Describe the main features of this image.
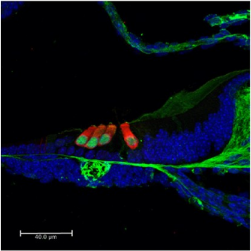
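The red cells are tall and rounded, with green nuclei inside them, three grouped together and one a little apart. Thin green membranes arch over the tissue at the upper right.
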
